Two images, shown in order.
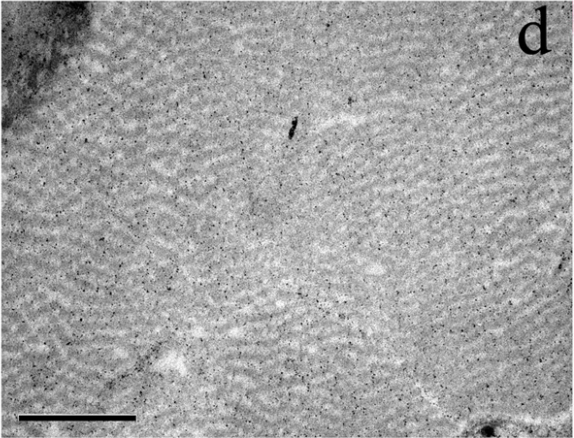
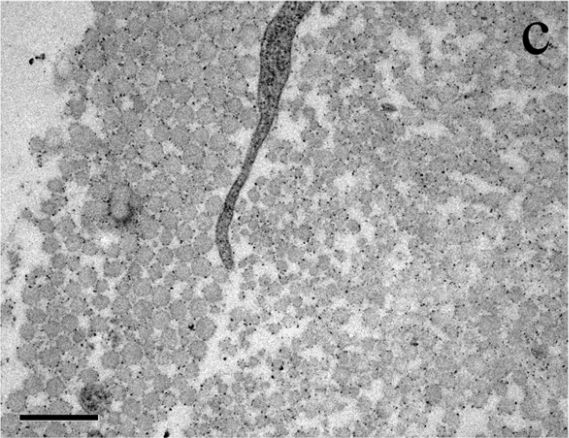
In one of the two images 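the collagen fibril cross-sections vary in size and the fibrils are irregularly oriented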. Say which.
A: the second image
